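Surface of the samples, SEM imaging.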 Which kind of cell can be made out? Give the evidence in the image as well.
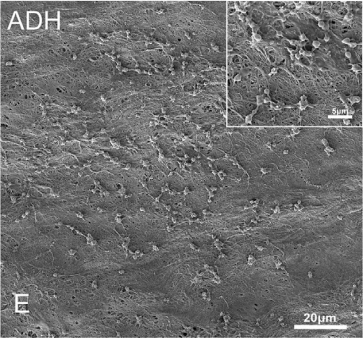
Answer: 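Platelet. Many small rounded bodies lie scattered on the fibrous surface. In the inset the small bodies are a few micrometres across, some with short spreading extensions.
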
